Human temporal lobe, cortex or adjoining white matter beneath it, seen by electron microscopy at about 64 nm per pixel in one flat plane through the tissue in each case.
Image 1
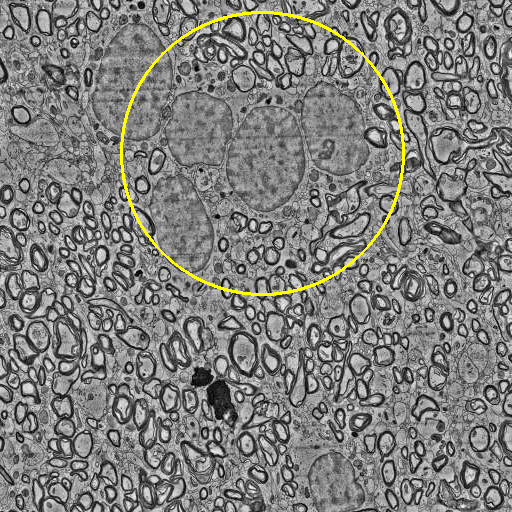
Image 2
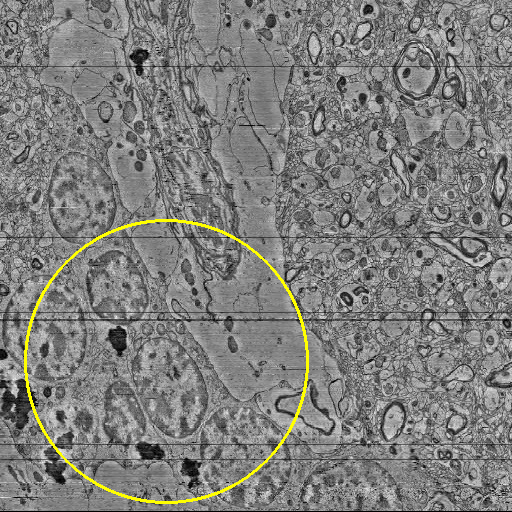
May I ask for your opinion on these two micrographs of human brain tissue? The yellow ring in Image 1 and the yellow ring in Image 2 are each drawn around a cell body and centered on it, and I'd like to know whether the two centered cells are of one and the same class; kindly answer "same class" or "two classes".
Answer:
same class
